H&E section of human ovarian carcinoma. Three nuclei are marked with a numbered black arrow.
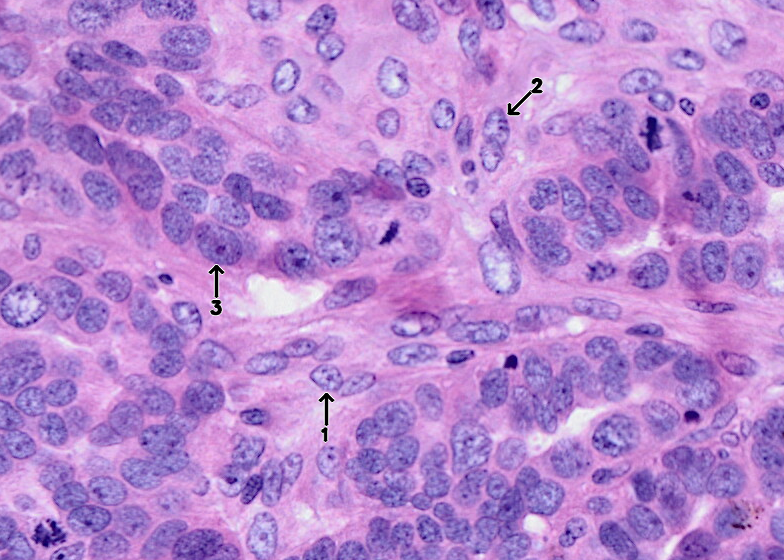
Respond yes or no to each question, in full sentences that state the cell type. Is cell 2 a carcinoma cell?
No, cell 2 counts as a fibroblast rather than as a carcinoma cell.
